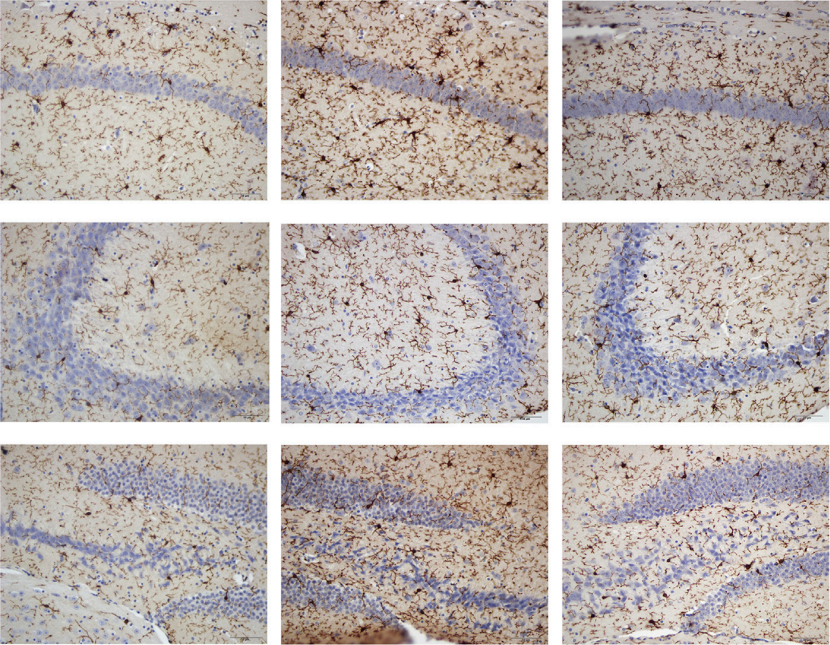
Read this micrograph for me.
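The cells are spaced fairly evenly through the neuropil and do not form layers. Dense bands of blue, round nuclei mark the principal cell layers. These bands run as a curved band in some fields and as tightly packed layers in others. Microglia lie both within the neuropil on either side of these bands and among the packed nuclei.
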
